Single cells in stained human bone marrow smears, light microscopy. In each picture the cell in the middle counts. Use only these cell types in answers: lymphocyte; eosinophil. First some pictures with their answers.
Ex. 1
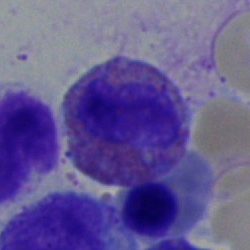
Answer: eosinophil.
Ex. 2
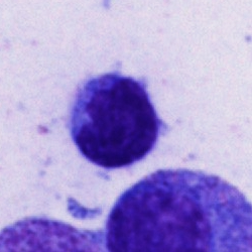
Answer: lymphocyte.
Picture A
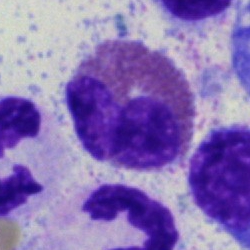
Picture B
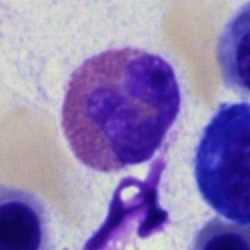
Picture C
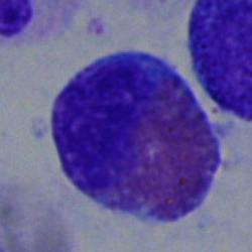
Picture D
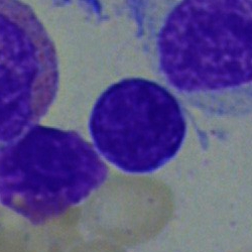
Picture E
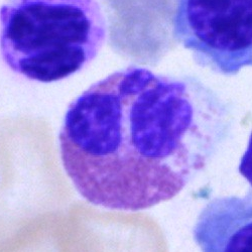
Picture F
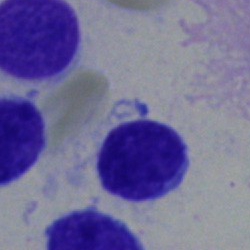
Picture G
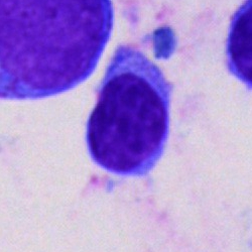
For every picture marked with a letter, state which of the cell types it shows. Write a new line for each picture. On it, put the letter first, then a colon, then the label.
A: eosinophil.
B: eosinophil.
C: eosinophil.
D: lymphocyte.
E: eosinophil.
F: lymphocyte.
G: lymphocyte.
